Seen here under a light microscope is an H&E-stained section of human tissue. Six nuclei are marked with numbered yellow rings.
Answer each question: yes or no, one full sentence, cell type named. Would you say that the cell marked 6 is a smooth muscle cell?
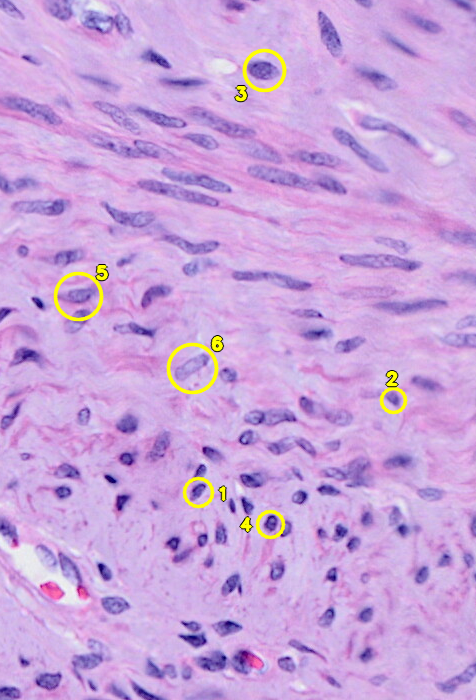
Yes, kindly take note: the cell numbered 6 is a smooth muscle cell.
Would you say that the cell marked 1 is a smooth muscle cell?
No, number 1 is not a smooth muscle cell; it is a fibroblast.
